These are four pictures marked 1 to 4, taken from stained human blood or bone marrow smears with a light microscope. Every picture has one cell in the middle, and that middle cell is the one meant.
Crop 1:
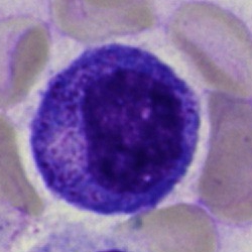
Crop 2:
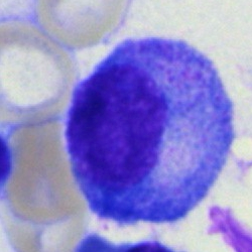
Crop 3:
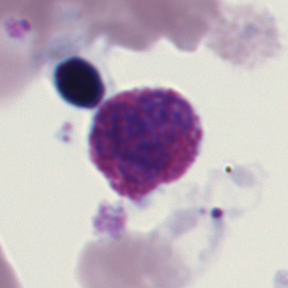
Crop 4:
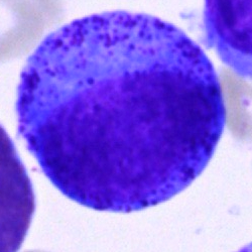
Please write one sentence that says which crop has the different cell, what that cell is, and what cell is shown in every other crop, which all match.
Crop 3 shows an eosinophil, while all of the others show promyelocytes.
